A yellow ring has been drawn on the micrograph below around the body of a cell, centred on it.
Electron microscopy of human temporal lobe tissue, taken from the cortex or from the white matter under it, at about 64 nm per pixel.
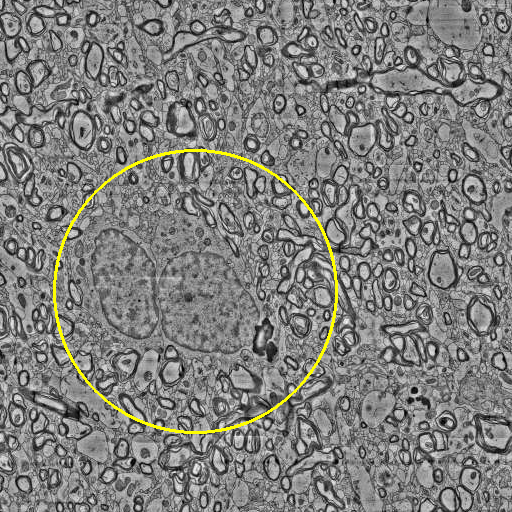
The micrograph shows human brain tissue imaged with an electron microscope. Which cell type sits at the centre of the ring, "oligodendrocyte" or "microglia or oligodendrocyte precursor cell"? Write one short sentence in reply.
The cell sitting at the centre of the ring is an oligodendrocyte.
